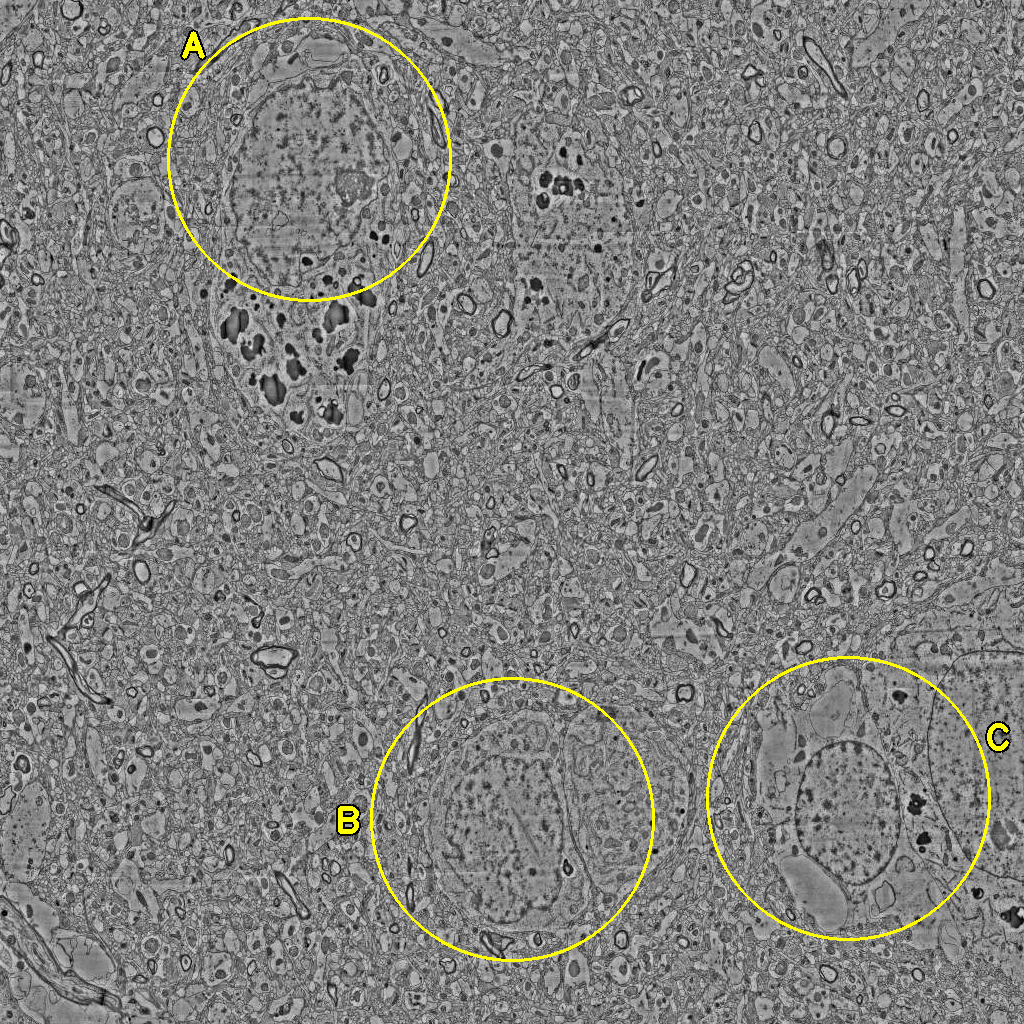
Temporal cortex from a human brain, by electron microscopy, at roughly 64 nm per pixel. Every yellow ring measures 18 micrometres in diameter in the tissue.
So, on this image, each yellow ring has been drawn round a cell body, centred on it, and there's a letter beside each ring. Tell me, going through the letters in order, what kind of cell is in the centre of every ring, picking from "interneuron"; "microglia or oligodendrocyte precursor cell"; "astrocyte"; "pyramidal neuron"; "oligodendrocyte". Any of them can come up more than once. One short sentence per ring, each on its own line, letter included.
Ring A has been drawn round an interneuron.
Ring B has been drawn round an interneuron.
Ring C has been drawn round an astrocyte.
